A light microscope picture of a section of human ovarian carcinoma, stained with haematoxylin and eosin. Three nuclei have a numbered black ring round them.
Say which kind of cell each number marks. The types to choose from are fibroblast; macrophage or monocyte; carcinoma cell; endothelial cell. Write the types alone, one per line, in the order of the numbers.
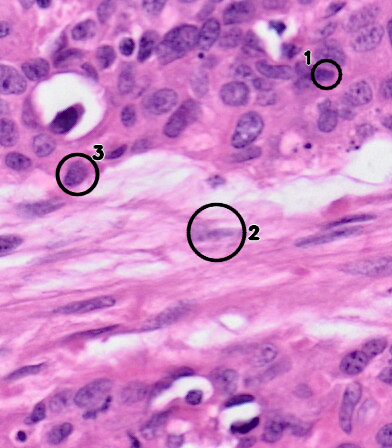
carcinoma cell
fibroblast
macrophage or monocyte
